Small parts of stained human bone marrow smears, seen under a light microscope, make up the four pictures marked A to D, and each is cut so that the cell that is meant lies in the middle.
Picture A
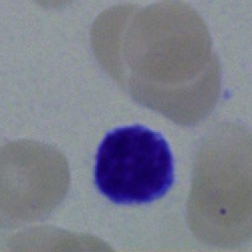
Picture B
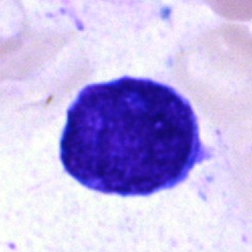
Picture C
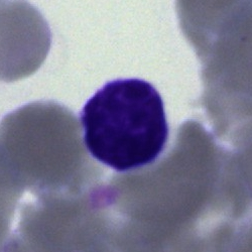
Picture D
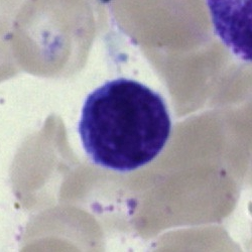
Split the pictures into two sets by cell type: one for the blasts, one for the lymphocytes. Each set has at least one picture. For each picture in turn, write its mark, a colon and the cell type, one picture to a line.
A: lymphocyte
B: blast
C: lymphocyte
D: lymphocyte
